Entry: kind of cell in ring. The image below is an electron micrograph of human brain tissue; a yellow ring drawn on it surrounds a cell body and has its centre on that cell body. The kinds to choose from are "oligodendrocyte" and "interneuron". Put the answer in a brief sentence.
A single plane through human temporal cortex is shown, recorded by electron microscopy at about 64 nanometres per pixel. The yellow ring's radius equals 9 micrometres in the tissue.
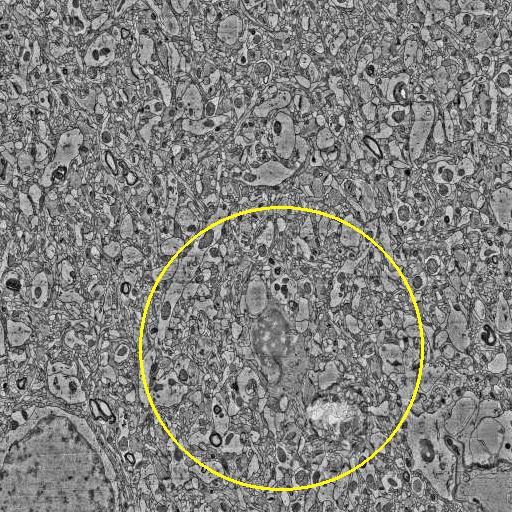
The ring has been drawn around an oligodendrocyte.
